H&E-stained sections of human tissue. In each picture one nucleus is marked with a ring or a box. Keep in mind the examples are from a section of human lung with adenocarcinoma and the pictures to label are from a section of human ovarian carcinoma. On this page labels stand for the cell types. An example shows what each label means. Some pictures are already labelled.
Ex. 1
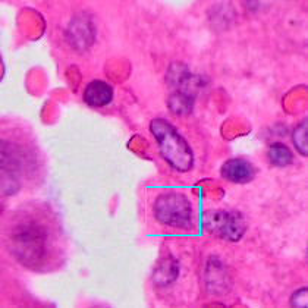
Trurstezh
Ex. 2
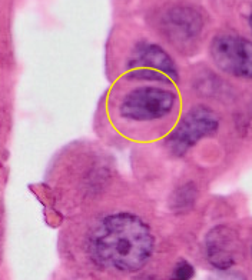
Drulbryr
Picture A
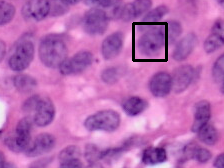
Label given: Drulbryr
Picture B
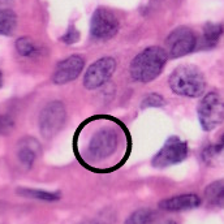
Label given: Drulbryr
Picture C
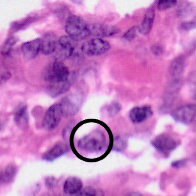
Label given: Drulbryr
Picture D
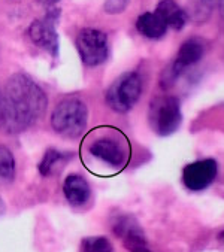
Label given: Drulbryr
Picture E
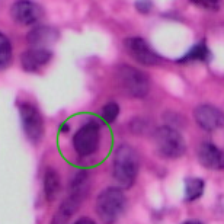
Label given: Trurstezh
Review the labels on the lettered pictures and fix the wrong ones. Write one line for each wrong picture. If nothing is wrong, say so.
E is labelled Trurstezh; correct label: Drulbryr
